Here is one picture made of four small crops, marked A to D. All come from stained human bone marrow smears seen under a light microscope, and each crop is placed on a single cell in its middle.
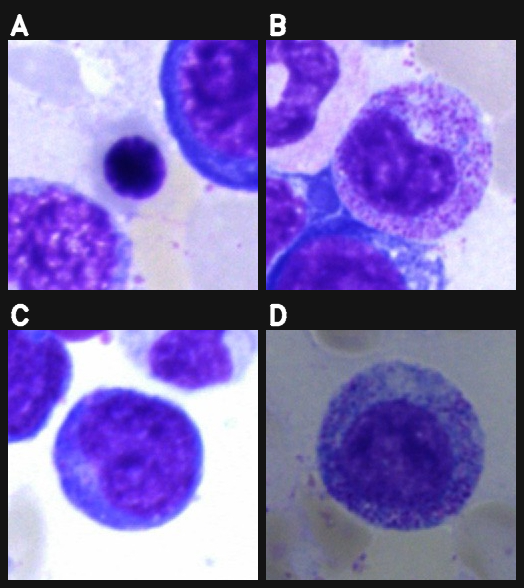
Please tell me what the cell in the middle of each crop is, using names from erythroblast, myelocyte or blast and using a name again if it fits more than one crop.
A: erythroblast
B: myelocyte
C: blast
D: myelocyte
